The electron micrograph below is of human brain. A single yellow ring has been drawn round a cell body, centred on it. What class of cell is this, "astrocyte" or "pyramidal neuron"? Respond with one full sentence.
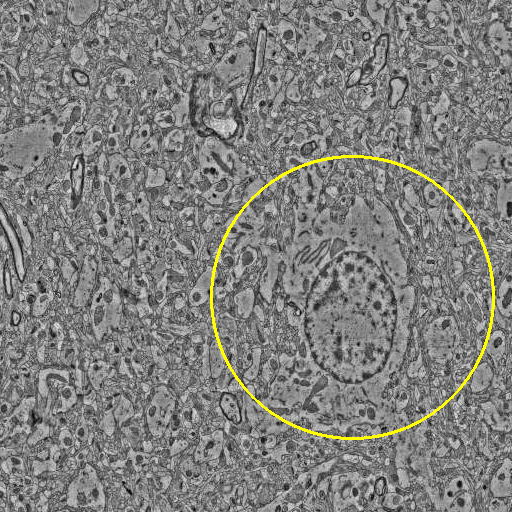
In the micrograph, the cell centred inside the yellow ring is an astrocyte.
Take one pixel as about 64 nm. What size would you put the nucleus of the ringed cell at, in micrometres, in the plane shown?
The nucleus comes to roughly 8 by 6 micrometres in this plane.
